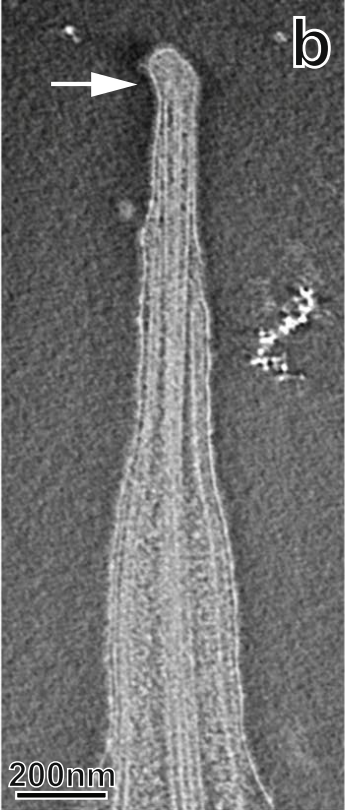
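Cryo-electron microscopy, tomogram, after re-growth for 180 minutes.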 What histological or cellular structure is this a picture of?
Ciliary tip region.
